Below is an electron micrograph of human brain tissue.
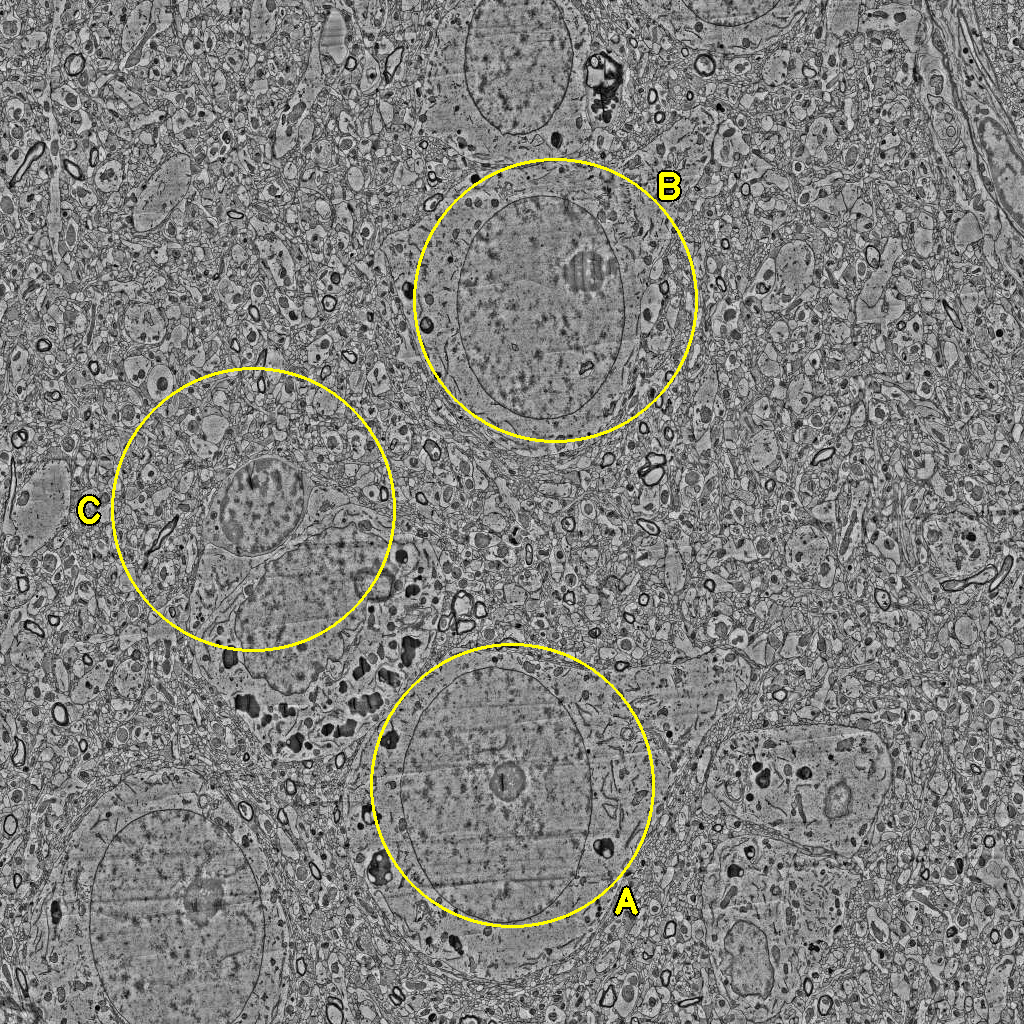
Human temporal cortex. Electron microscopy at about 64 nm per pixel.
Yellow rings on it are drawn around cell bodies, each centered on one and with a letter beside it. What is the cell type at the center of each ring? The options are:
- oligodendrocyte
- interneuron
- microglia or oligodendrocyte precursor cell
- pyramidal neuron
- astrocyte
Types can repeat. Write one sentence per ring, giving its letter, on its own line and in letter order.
At the center of ring A is a pyramidal neuron.
At the center of ring B is a pyramidal neuron.
At the center of ring C is an oligodendrocyte.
